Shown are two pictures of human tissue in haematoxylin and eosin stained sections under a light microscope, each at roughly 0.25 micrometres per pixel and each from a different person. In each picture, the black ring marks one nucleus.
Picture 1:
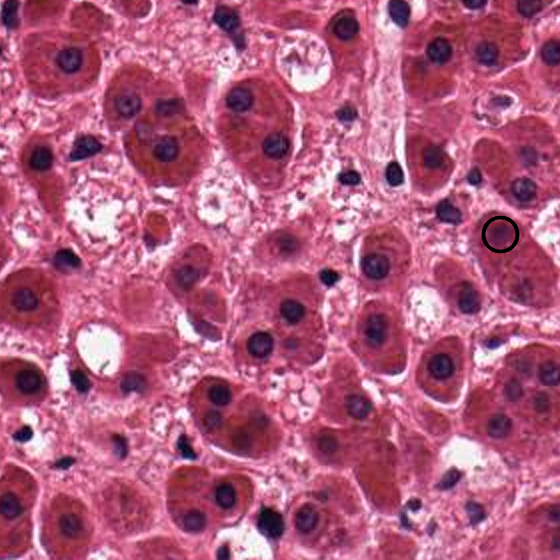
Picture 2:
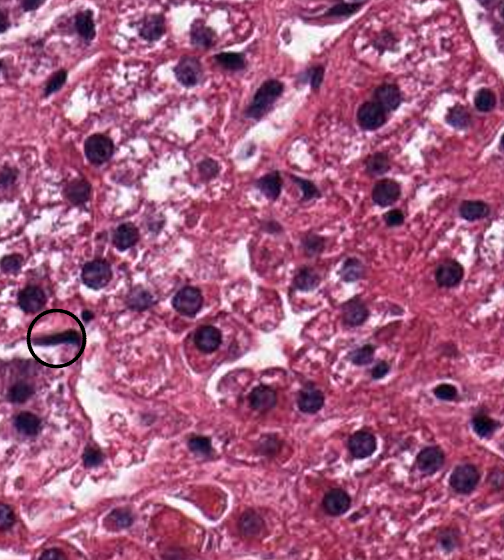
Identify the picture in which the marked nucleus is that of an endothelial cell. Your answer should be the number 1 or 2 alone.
2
